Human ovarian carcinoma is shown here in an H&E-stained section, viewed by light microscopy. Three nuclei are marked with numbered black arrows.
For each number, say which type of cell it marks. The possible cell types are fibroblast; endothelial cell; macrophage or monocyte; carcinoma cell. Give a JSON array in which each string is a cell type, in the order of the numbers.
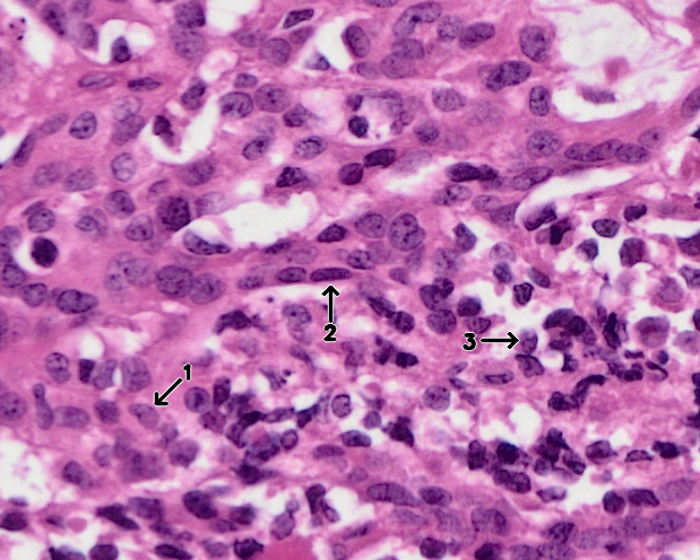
["macrophage or monocyte", "carcinoma cell", "carcinoma cell"]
